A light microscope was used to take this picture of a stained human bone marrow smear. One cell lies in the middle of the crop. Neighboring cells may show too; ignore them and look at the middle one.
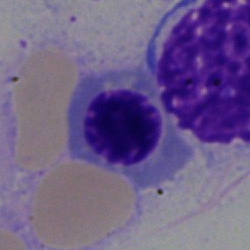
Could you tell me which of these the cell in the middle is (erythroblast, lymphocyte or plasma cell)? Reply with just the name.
erythroblast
